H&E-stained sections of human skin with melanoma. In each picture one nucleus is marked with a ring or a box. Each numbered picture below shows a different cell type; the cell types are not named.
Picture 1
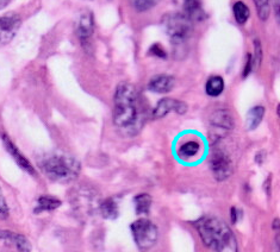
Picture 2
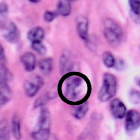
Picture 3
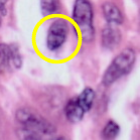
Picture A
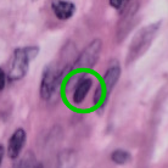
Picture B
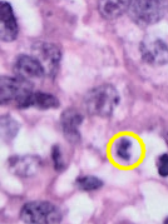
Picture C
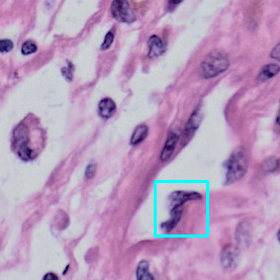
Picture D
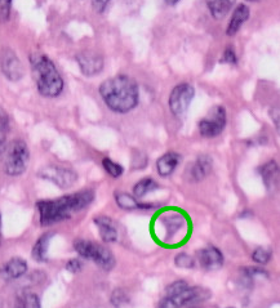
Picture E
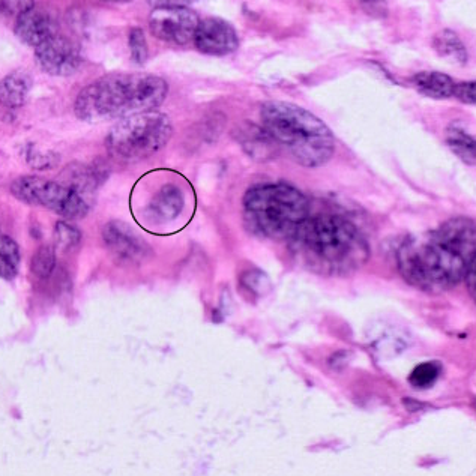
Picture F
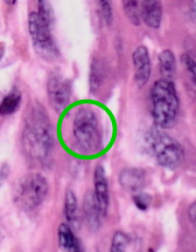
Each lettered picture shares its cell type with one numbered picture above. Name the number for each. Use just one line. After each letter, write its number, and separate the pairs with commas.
A 2, B 1, C 2, D 2, E 2, F 3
